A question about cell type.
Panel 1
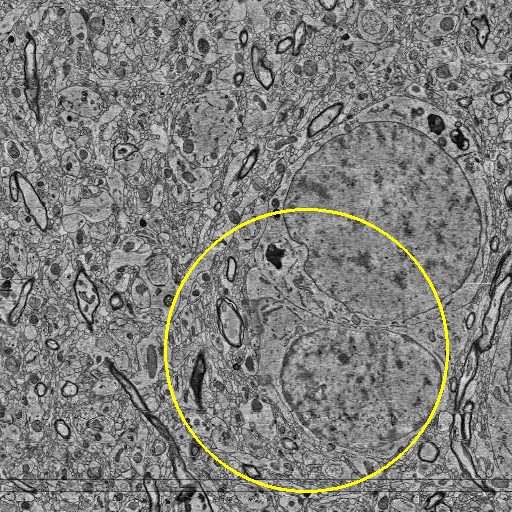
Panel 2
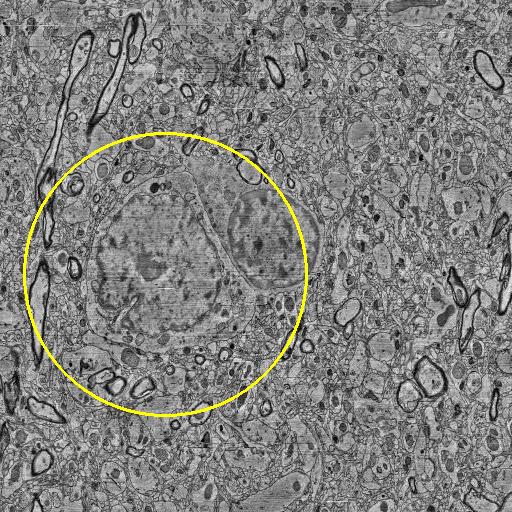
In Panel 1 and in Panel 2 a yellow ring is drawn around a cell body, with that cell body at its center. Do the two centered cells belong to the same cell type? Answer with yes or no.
no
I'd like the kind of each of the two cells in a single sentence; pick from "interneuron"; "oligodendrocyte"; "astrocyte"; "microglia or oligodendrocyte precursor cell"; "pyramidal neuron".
The first ring marks a microglial cell or oligodendrocyte precursor cell, and the second ring marks an interneuron.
